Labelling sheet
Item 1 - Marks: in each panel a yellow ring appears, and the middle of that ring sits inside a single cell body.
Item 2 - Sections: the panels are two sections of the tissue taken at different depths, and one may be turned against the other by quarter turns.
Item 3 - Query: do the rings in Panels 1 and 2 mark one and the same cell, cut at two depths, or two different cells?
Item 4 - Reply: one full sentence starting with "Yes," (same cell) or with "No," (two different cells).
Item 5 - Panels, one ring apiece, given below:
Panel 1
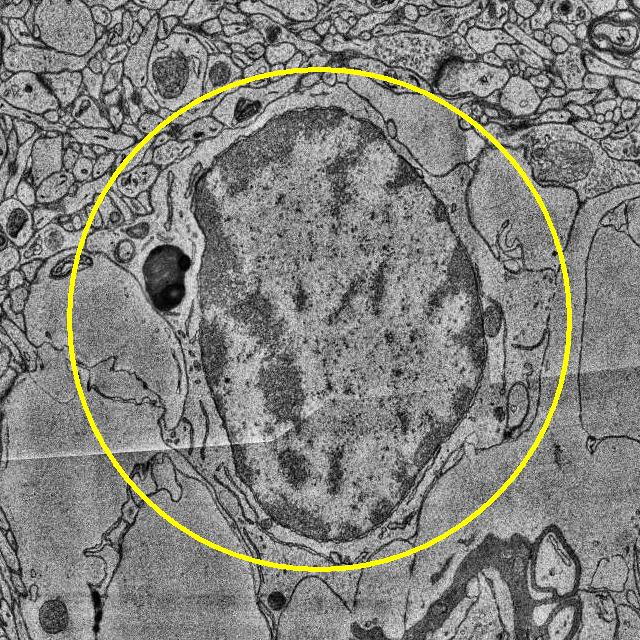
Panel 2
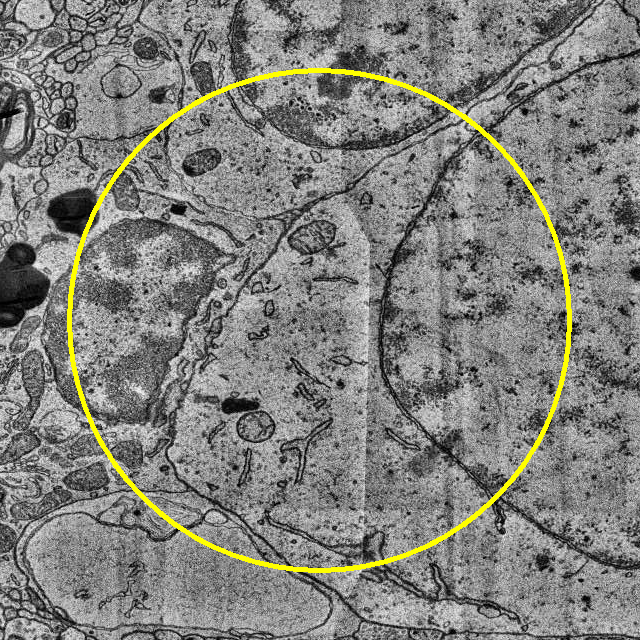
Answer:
No, in this micrograph the two rings mark two different cells.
